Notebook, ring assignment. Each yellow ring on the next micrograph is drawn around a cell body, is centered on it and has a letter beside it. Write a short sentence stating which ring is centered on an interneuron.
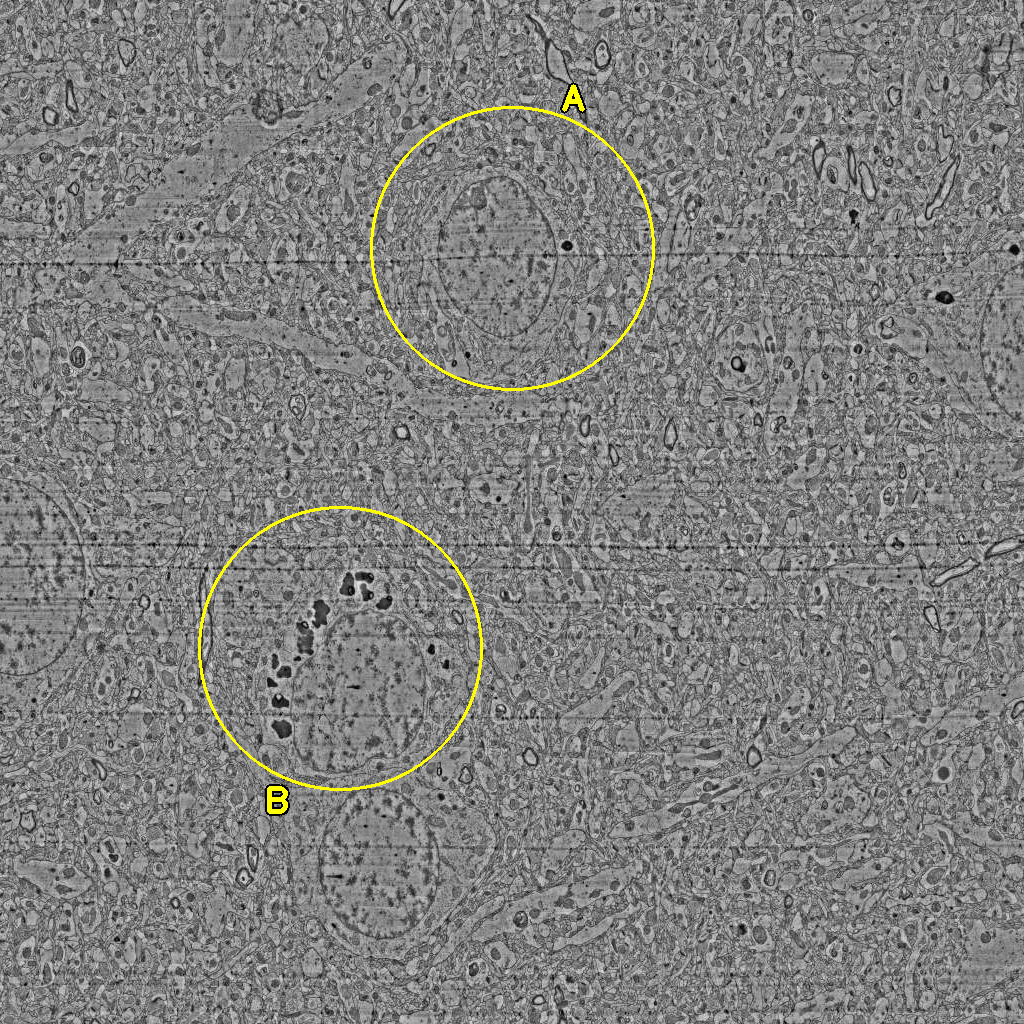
Ring B is centered on it.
